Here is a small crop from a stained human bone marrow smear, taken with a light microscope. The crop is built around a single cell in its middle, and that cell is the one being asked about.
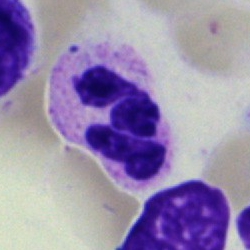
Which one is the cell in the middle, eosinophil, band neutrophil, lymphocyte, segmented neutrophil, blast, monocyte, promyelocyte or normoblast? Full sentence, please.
The cell in the exact centre of the crop is a segmented neutrophil.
